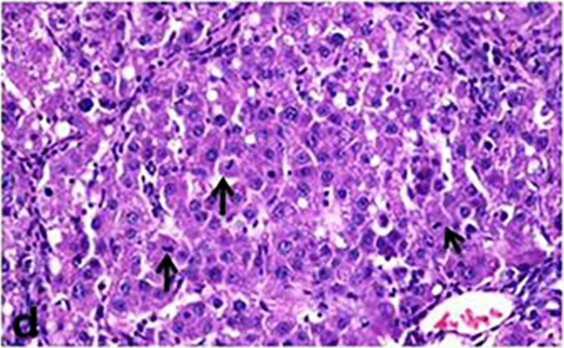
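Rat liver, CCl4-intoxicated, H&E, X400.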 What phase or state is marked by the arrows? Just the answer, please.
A: Mitosis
